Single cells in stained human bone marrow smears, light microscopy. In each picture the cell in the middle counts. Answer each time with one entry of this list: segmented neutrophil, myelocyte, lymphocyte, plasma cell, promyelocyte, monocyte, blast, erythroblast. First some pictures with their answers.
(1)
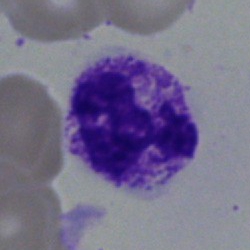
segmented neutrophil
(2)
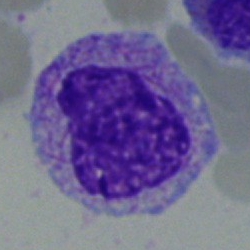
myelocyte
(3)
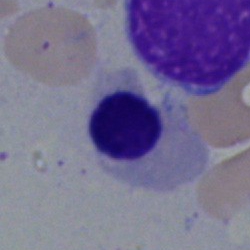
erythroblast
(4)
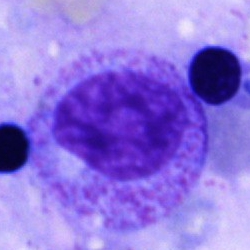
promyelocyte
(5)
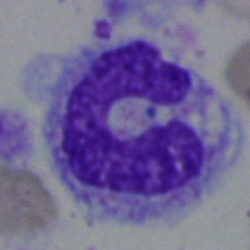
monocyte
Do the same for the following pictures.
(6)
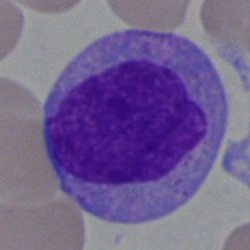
monocyte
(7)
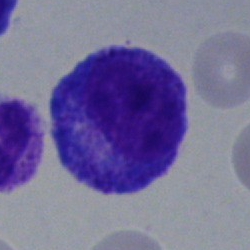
promyelocyte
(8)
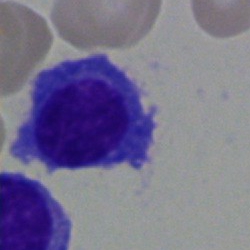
plasma cell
